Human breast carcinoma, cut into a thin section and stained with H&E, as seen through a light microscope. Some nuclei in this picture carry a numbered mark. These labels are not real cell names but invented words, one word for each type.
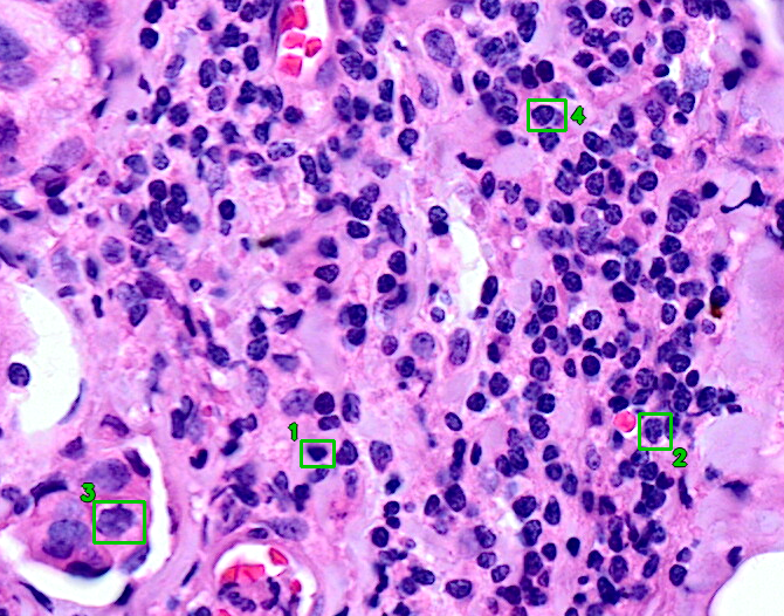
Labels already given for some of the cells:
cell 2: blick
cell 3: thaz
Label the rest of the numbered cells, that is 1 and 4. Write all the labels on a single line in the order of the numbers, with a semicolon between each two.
blick; blick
